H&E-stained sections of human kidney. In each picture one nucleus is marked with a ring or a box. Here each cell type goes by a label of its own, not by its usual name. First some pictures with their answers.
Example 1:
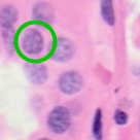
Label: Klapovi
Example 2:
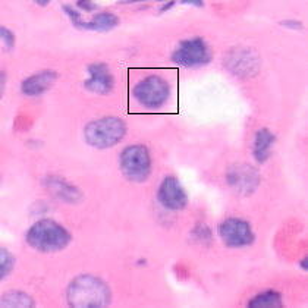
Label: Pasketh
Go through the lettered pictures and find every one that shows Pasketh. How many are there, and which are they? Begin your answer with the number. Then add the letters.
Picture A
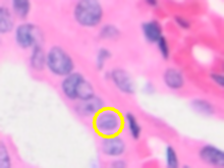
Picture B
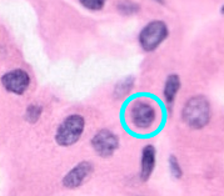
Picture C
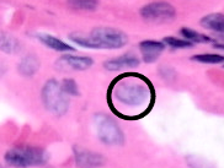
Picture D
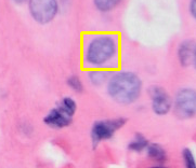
2, namely B, C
